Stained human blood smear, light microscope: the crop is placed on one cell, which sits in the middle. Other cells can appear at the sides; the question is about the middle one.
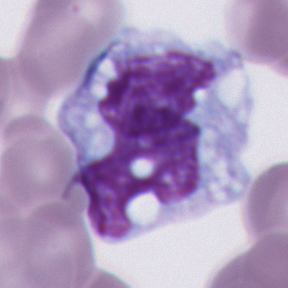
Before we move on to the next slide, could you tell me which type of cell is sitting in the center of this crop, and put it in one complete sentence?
The middle cell in this particular crop is a monocyte.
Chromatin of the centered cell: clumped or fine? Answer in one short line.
The chromatin is delicate and fine, lacking coarse clumping entirely.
